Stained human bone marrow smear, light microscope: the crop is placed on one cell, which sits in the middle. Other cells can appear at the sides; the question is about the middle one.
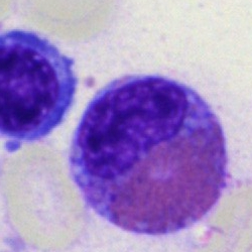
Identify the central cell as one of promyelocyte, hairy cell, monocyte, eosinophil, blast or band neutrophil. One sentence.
The cell that lies at the centre of the crop is an eosinophil.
